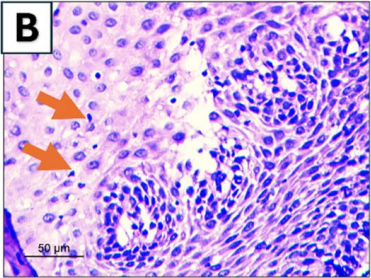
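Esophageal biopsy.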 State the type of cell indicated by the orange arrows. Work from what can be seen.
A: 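The arrows point to small dark nuclei lying between the larger pale squamous cells. These nuclei are much smaller and denser than the surrounding epithelial nuclei. That points to this answer: inflammatory cells.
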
